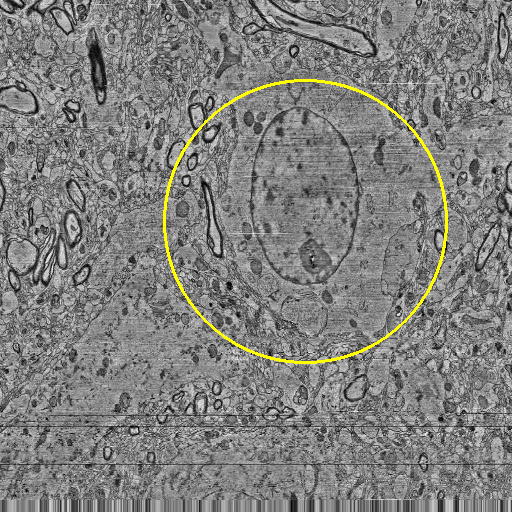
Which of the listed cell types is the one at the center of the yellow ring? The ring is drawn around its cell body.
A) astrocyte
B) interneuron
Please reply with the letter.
A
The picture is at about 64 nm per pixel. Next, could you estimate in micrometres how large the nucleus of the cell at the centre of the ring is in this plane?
In this plane, approximately 12 by 7 micrometers, and clearly longer than it is wide.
